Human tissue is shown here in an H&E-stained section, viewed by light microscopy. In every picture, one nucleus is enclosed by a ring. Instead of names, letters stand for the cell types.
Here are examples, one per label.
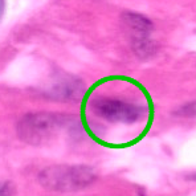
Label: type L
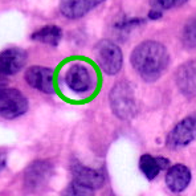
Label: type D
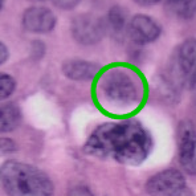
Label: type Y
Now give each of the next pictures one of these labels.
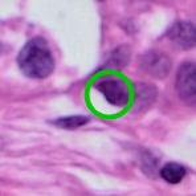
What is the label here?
type Y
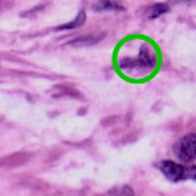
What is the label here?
type L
